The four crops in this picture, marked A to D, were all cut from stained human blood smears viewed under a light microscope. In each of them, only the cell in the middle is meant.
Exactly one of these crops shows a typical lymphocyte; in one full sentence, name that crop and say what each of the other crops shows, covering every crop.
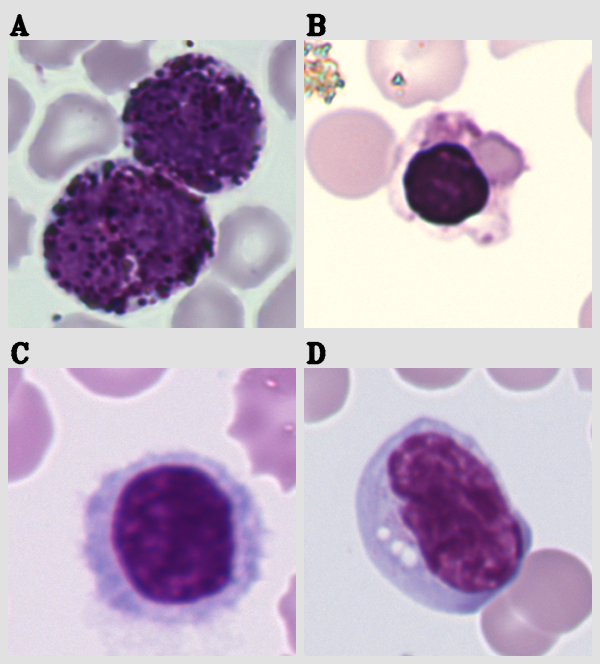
In crop D, a typical lymphocyte is the cell shown, while crop A is a basophil, crop B is an erythroblast and crop C is a hairy cell.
